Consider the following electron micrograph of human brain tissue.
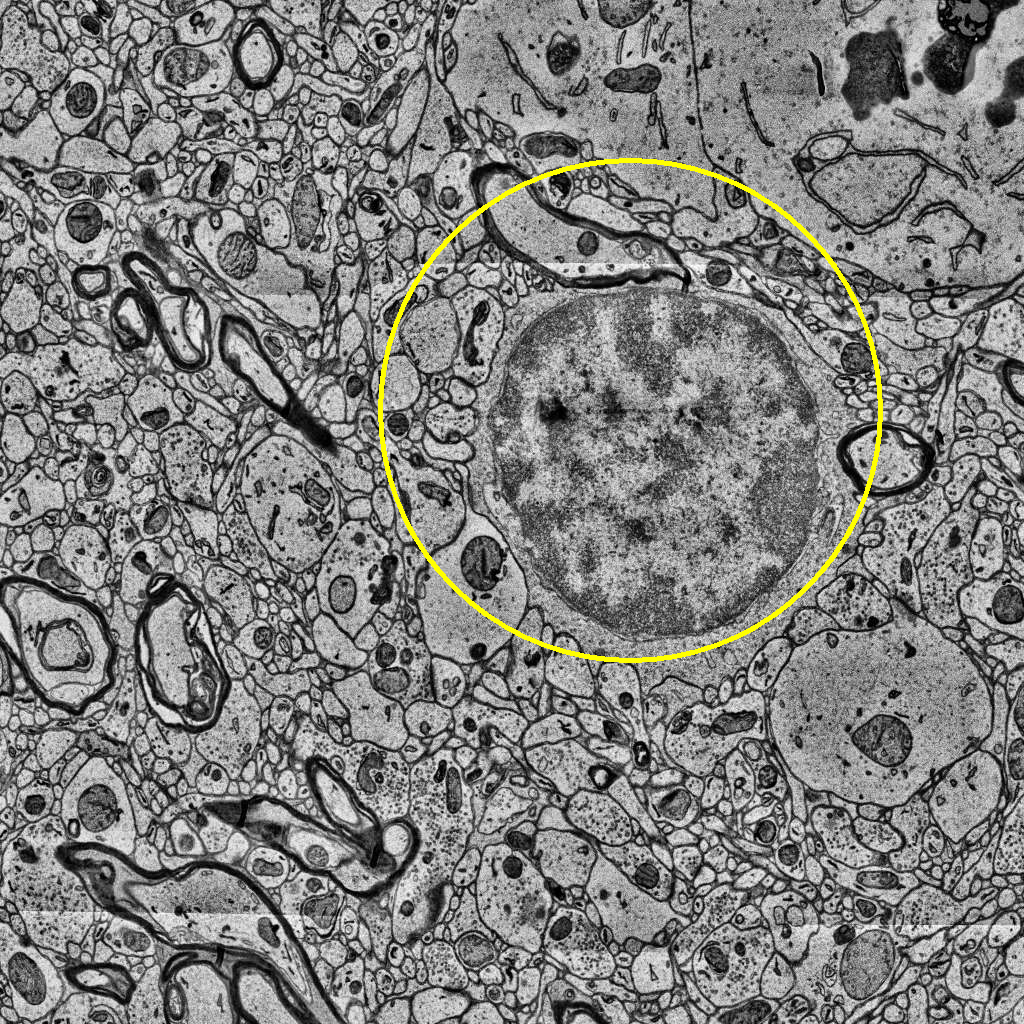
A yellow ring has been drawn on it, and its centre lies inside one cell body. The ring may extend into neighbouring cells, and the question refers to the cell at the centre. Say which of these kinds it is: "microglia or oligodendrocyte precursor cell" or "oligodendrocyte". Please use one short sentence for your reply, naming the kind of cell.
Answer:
The centre of the ring falls on an oligodendrocyte.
